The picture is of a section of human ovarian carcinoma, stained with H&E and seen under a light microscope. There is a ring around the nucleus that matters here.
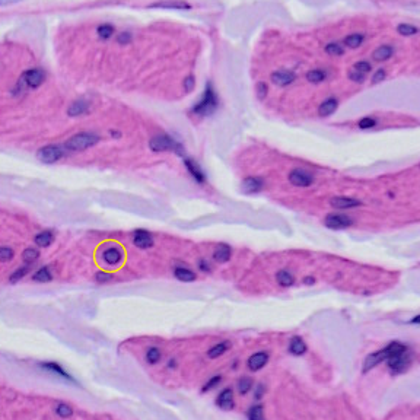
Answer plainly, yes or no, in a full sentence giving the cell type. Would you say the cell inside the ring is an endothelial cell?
No, put down a smooth muscle cell for the cell inside the ring, not an endothelial cell.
